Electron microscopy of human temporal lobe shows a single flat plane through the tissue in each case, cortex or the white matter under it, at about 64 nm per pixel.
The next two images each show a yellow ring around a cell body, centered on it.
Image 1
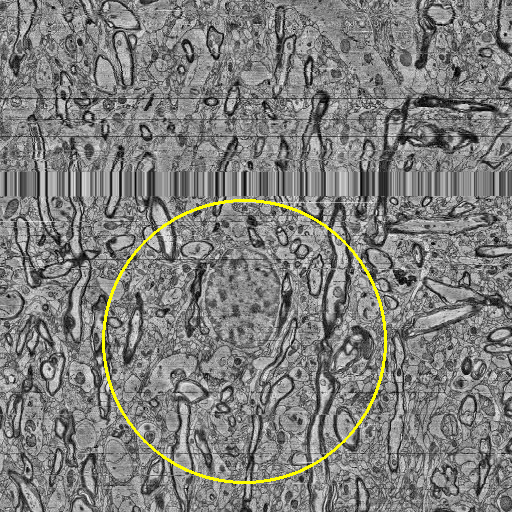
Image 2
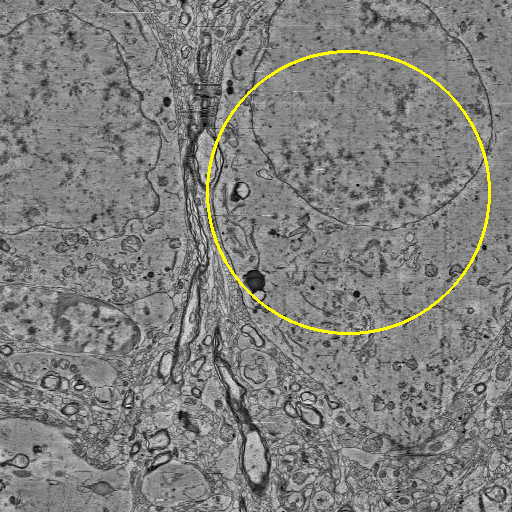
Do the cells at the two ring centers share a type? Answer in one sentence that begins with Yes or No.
No, across the two images the cells at the ring centers are of two types.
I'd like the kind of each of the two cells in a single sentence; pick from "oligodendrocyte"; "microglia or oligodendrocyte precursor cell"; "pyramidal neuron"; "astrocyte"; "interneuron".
The first ring marks an oligodendrocyte, and the second ring marks a pyramidal neuron.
